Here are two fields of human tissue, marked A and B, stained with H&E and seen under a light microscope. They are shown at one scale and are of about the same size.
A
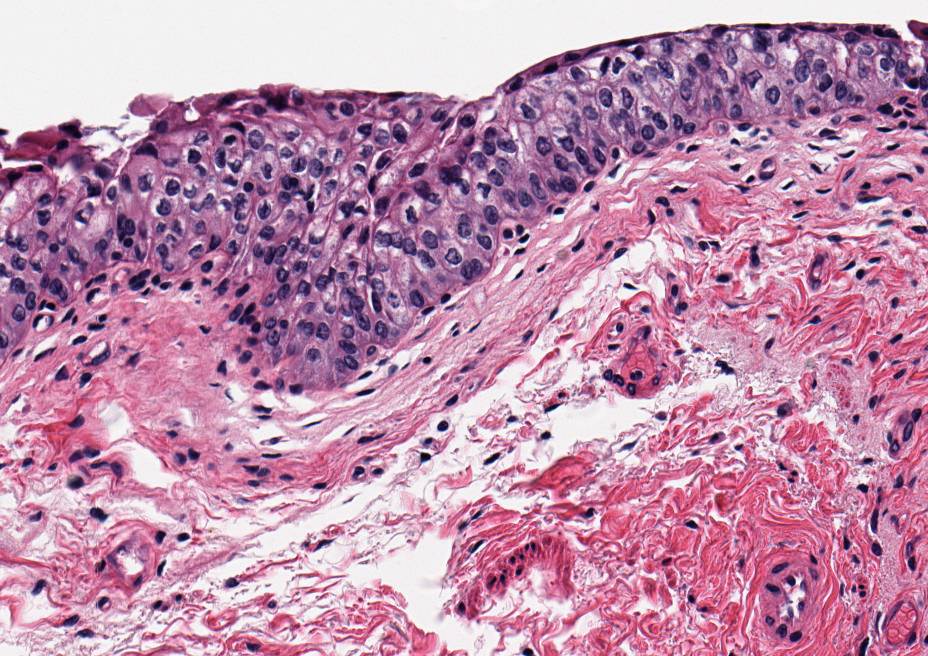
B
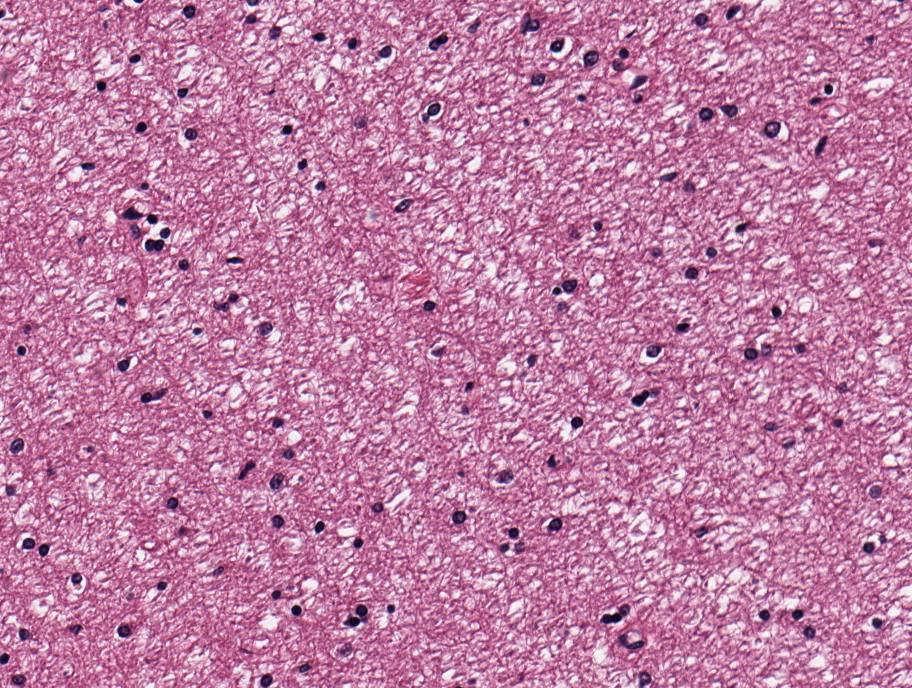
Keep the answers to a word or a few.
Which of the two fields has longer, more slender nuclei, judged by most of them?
A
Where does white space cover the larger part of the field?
A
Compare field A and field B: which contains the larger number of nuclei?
A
